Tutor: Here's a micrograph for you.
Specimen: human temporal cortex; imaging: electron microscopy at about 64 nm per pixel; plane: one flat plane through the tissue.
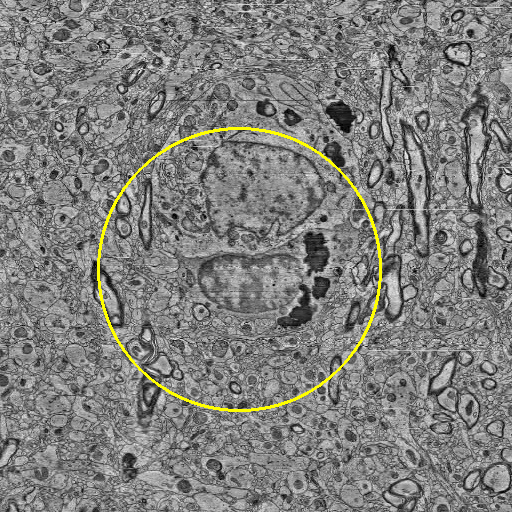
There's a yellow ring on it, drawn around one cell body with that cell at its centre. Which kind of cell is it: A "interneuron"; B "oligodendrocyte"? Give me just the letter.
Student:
B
